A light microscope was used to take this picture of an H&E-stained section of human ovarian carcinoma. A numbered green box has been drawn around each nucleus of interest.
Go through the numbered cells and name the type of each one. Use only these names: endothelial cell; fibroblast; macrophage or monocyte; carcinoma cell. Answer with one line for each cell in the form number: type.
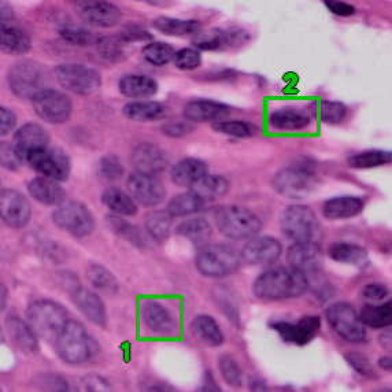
1: carcinoma cell
2: macrophage or monocyte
